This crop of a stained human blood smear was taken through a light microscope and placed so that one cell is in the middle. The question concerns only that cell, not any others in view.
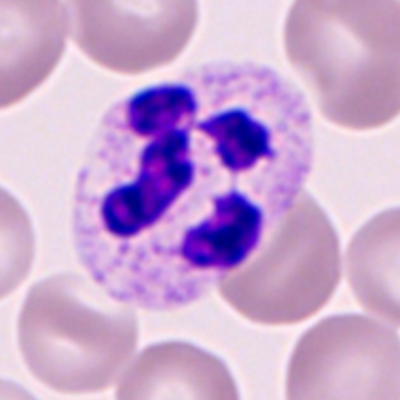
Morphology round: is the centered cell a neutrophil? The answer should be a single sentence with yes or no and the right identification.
Yes, the cell in the center of this crop is a neutrophil.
